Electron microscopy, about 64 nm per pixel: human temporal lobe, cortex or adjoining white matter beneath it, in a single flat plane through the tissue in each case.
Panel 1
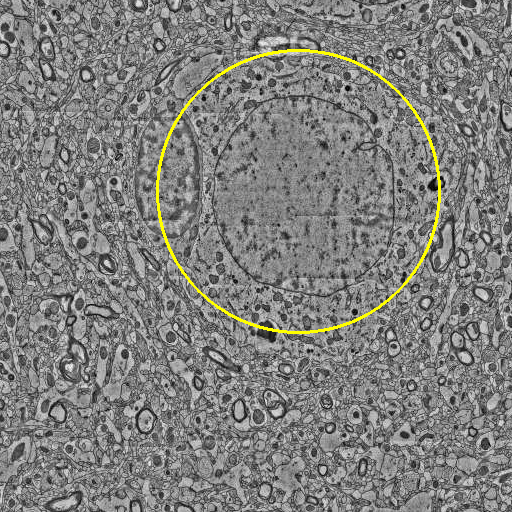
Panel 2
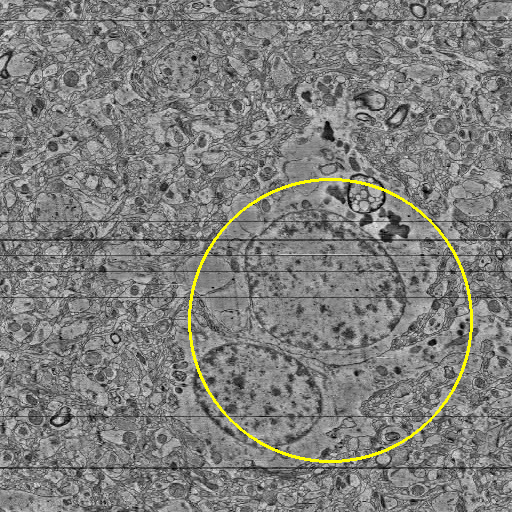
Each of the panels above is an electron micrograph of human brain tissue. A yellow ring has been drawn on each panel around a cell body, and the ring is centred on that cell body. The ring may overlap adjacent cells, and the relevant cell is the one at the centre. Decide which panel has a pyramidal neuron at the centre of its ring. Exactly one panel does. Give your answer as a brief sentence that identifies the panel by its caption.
Panel 1 is the one with it at the centre of the ring.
